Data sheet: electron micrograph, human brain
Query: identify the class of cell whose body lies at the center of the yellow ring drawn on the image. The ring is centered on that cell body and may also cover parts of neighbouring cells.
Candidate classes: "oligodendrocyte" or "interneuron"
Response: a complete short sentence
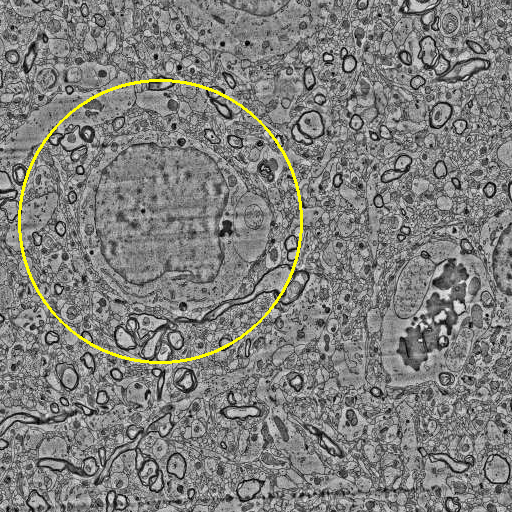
At the center of the ring lies an interneuron.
